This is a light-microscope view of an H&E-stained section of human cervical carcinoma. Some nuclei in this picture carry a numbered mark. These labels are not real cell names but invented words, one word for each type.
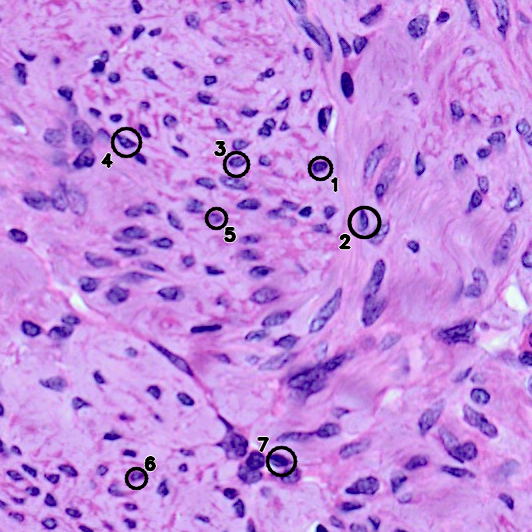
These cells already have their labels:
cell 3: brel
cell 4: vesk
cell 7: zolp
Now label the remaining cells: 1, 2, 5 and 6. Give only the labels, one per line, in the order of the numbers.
brel
vesk
brel
brel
